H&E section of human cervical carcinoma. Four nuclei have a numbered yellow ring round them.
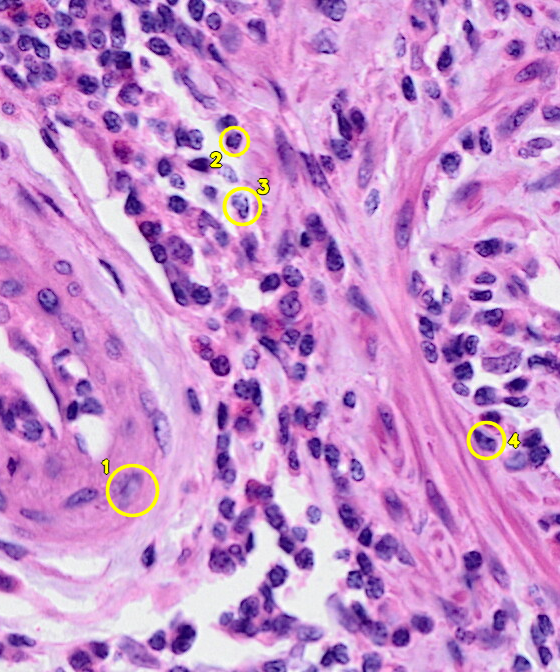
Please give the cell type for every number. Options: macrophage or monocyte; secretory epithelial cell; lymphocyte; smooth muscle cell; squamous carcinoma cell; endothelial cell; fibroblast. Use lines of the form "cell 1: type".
cell 1: smooth muscle cell
cell 2: lymphocyte
cell 3: lymphocyte
cell 4: lymphocyte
